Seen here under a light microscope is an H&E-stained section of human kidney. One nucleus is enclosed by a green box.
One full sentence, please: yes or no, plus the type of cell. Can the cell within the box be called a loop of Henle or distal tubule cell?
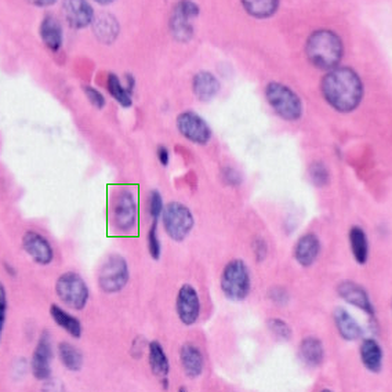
Yes, the cell within the box is rightly regarded as a loop of Henle or distal tubule cell.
